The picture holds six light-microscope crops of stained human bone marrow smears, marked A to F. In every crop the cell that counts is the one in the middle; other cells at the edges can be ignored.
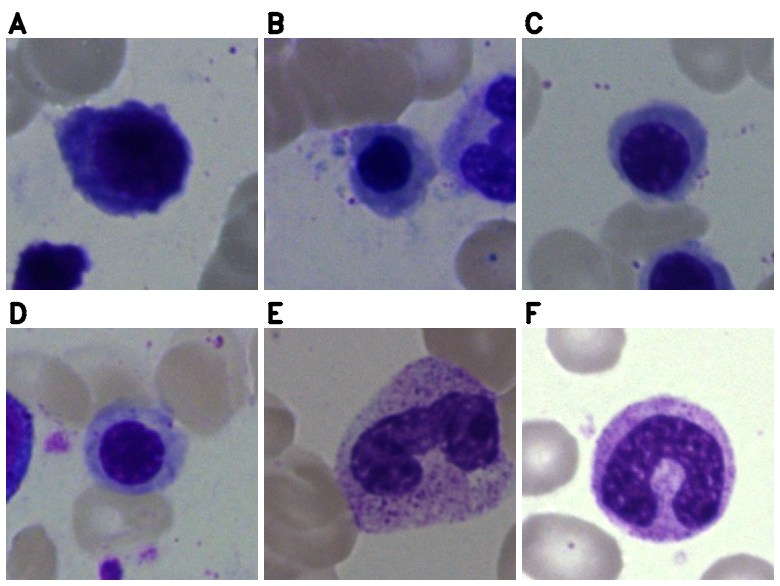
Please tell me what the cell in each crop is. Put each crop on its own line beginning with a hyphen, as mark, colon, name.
- A: erythroblast
- B: erythroblast
- C: erythroblast
- D: erythroblast
- E: band neutrophil
- F: band neutrophil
